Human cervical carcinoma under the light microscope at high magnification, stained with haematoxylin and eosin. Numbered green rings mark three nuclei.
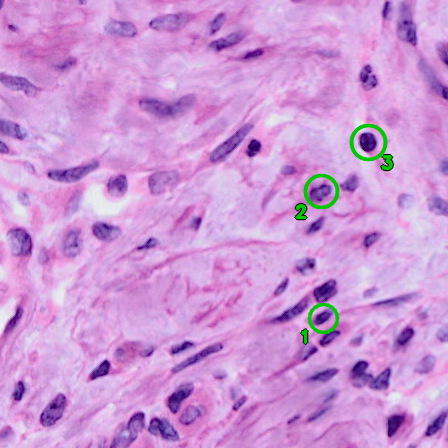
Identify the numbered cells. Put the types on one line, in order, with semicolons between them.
lymphocyte; smooth muscle cell; lymphocyte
